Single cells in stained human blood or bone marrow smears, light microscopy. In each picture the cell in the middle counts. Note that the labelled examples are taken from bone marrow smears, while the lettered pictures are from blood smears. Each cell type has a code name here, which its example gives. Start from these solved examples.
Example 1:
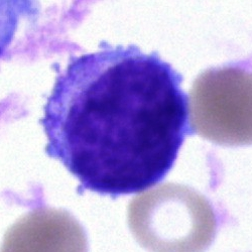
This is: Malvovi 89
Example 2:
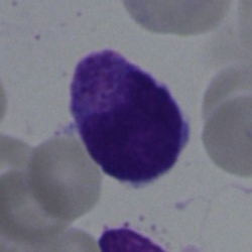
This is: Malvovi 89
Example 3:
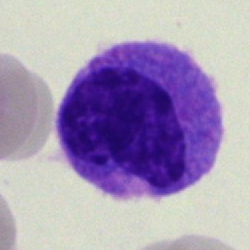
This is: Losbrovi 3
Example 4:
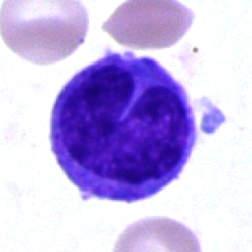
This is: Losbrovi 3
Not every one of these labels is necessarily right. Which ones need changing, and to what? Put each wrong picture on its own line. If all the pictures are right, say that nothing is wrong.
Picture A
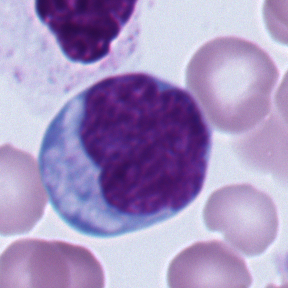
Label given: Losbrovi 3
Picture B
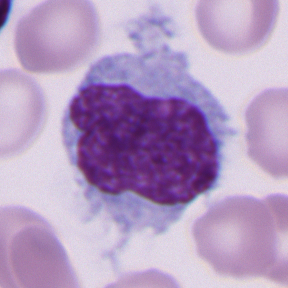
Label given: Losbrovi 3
All labels are correct.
